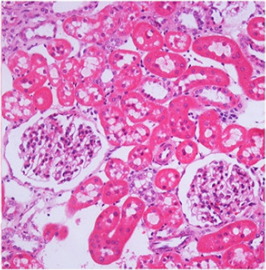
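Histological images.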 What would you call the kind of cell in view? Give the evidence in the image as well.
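Many round tubules lined by cells with pink cytoplasm. Small round nuclei line the tubule walls around narrow lumens.
Answer: renal tubular epithelial cells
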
